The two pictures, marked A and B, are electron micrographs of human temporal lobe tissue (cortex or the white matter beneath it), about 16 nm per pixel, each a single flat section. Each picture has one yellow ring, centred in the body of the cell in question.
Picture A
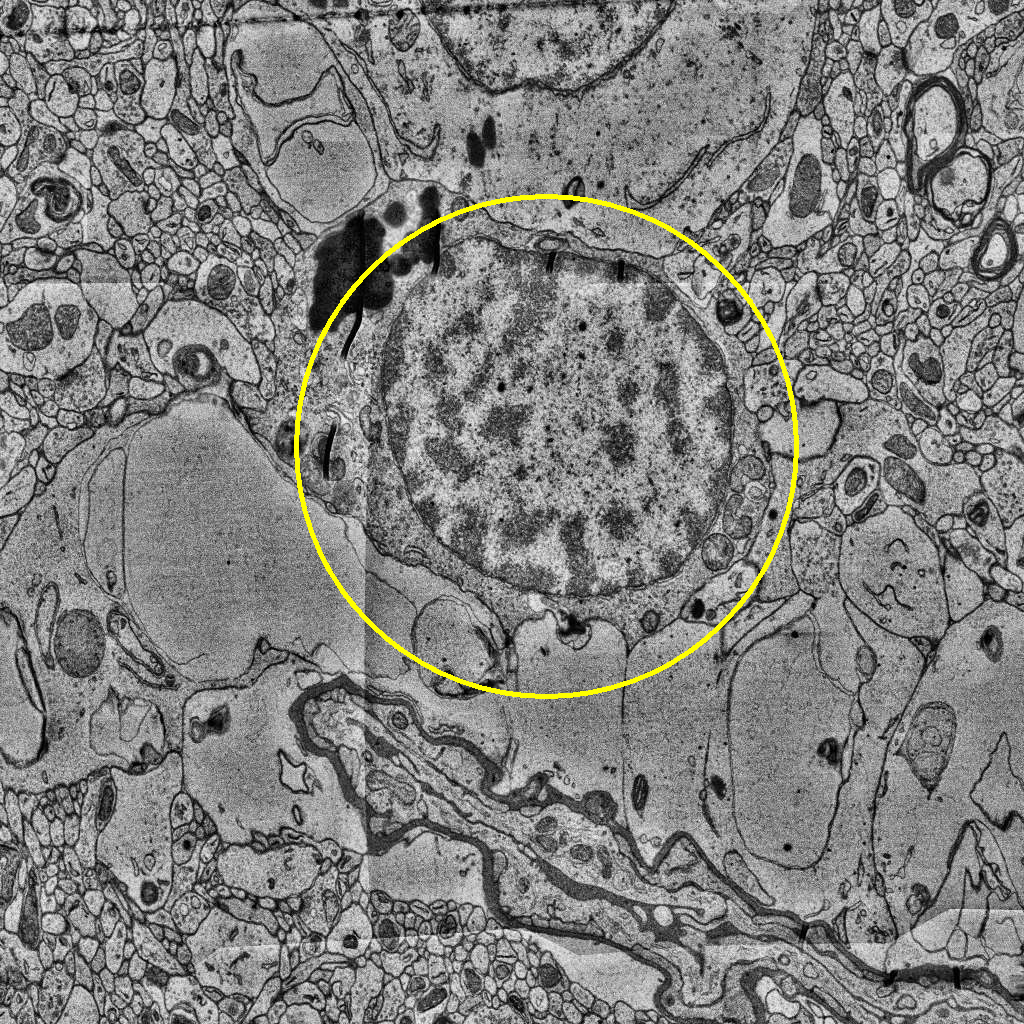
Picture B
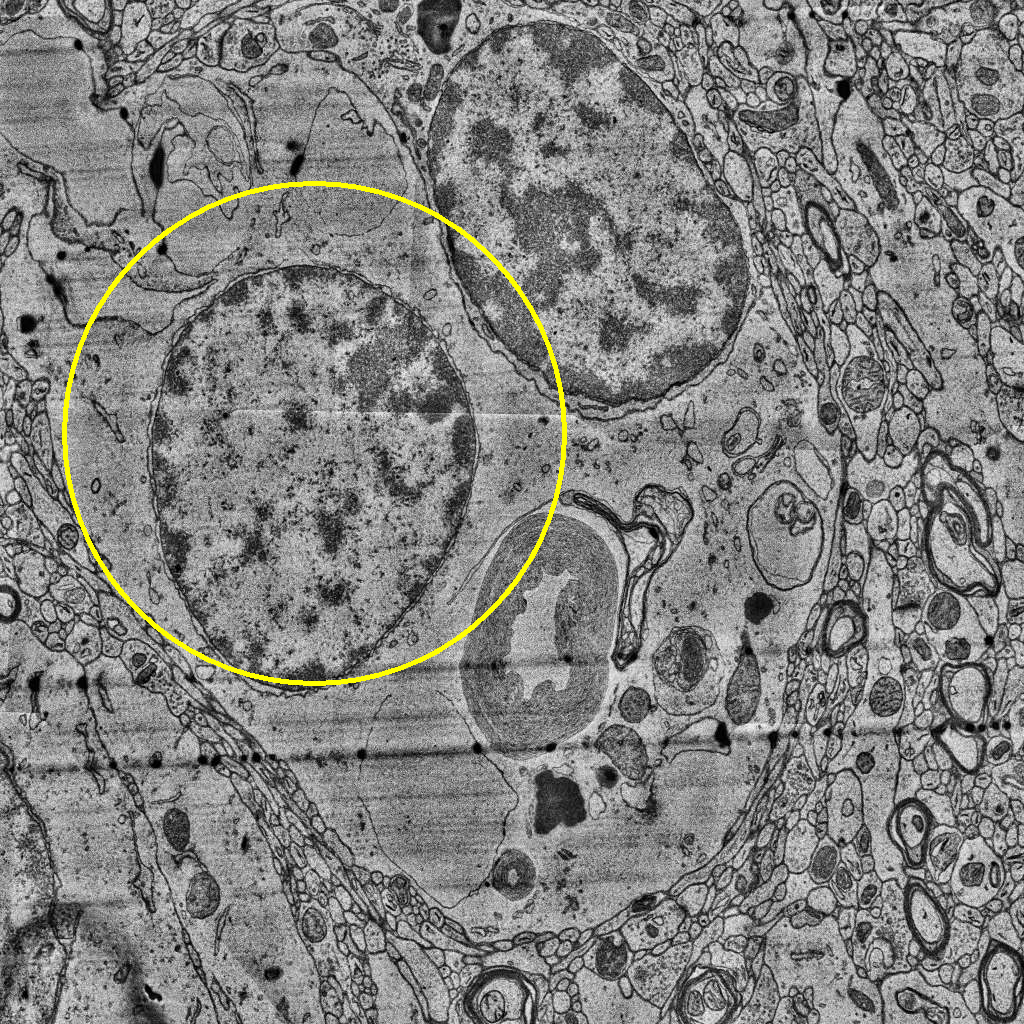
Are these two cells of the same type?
No, they differ: the cell is an oligodendrocyte in picture A and an astrocyte in picture B.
